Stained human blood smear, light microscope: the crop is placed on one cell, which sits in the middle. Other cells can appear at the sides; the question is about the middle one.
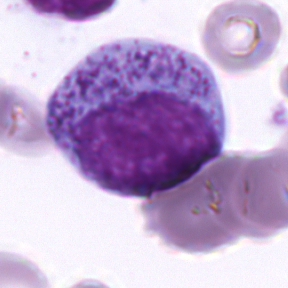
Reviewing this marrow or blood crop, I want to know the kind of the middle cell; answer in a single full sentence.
The central element of this crop is a cell, namely a myelocyte.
